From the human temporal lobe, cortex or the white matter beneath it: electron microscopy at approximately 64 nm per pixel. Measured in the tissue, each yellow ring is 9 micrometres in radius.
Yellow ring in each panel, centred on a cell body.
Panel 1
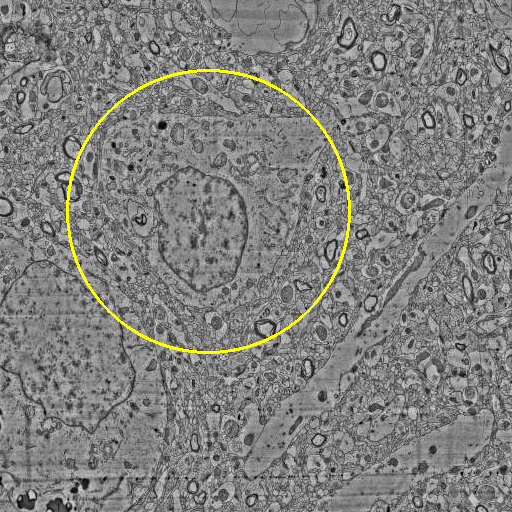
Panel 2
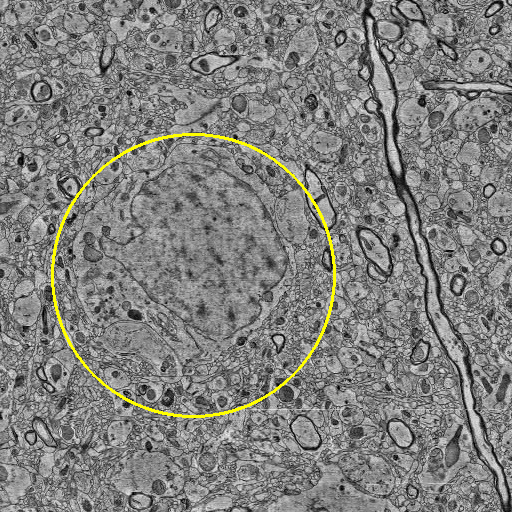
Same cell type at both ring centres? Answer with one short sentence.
No, the two cells are of two types.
